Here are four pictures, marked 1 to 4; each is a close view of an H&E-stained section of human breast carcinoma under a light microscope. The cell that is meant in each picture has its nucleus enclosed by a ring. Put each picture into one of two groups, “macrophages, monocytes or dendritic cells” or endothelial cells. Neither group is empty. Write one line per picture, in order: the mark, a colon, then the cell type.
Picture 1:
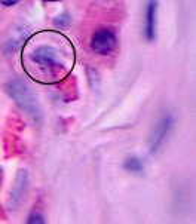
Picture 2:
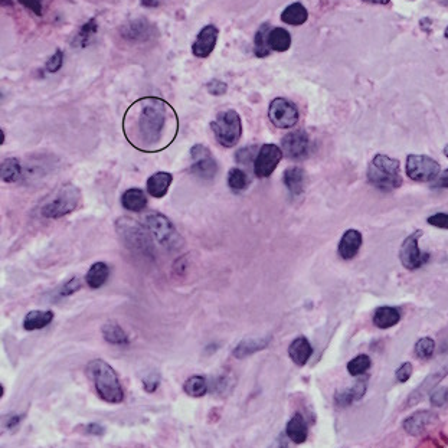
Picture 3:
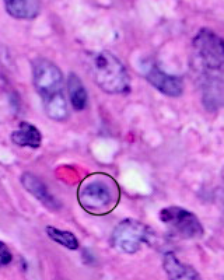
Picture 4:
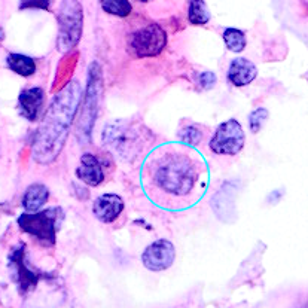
1: endothelial cell
2: macrophage, monocyte or dendritic cell
3: endothelial cell
4: macrophage, monocyte or dendritic cell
